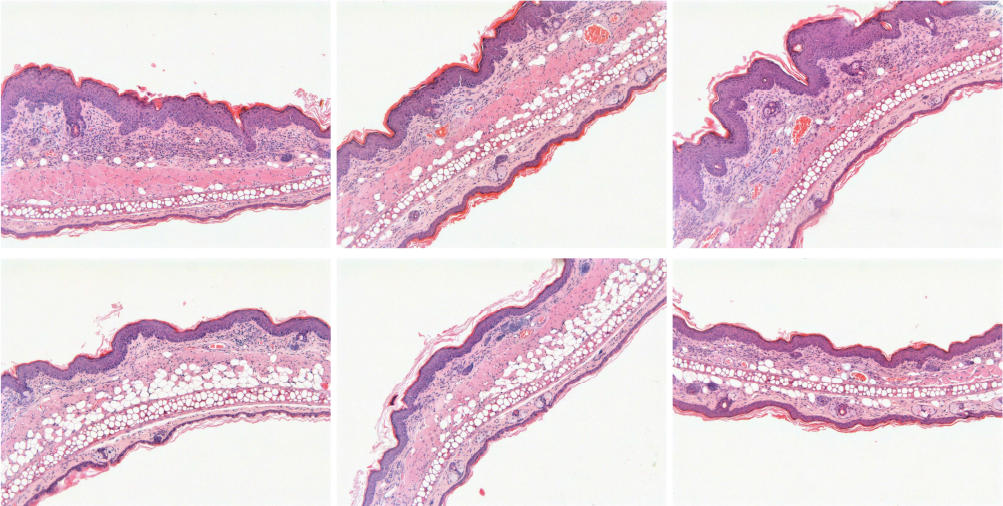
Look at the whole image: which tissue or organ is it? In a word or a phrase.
Ear skin.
